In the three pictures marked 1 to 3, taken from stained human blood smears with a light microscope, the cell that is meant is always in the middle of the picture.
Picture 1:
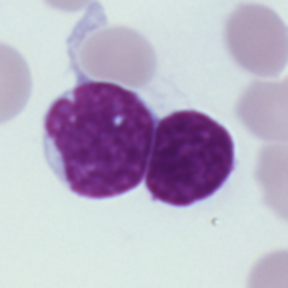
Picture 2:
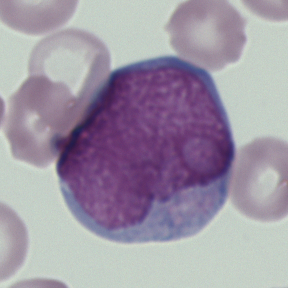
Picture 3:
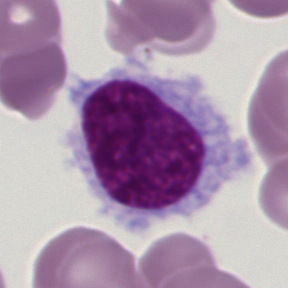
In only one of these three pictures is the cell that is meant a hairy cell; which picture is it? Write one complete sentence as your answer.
Picture 3 shows the hairy cell.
